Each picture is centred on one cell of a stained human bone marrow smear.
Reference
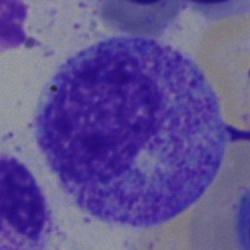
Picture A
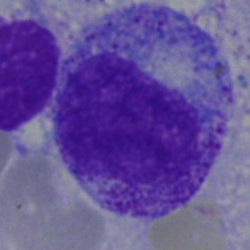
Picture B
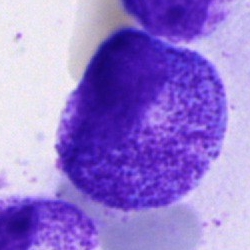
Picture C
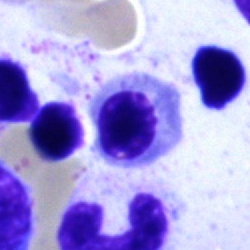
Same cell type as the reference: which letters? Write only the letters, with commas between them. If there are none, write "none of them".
A, B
